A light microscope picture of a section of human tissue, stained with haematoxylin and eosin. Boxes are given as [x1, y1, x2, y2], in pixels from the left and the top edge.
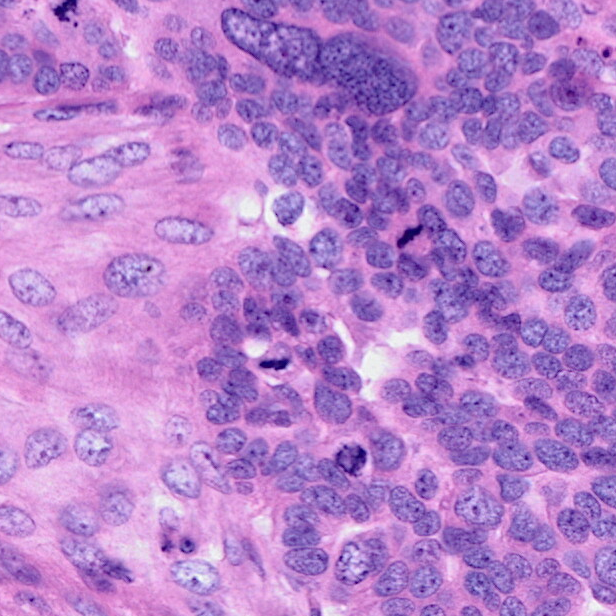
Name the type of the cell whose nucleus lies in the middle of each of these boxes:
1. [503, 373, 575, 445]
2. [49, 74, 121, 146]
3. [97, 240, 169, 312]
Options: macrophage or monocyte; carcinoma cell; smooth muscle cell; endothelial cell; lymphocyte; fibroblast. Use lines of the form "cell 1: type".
cell 1: carcinoma cell
cell 2: fibroblast
cell 3: fibroblast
